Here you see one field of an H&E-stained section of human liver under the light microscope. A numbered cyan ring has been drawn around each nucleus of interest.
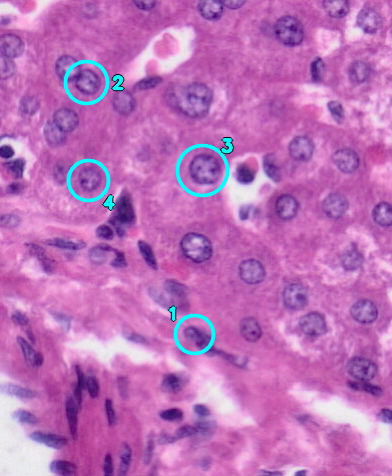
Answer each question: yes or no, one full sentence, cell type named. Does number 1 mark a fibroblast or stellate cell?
Yes, the cell whose nucleus carries number 1 is a fibroblast or stellate cell.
